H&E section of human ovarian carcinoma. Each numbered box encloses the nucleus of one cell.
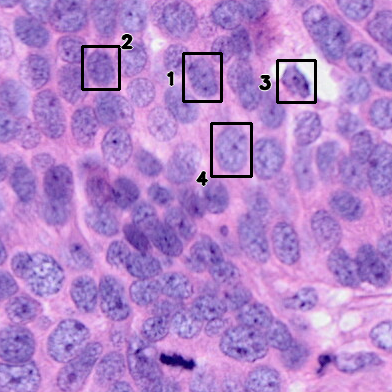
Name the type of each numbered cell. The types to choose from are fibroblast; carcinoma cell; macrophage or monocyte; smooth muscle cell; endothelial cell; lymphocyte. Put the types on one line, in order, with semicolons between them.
carcinoma cell; carcinoma cell; macrophage or monocyte; carcinoma cell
